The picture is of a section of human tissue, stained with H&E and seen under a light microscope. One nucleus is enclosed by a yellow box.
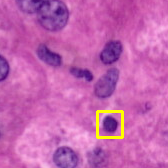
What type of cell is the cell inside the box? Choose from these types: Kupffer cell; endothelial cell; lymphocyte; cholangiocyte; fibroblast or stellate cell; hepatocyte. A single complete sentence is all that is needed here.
In the context of this tissue, the cell inside the box is a lymphocyte.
